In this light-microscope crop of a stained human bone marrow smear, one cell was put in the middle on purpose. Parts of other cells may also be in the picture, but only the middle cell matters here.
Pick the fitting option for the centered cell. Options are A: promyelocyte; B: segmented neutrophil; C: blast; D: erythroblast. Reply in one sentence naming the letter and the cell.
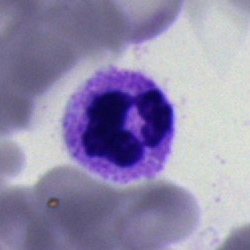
Of the choices given, option B is right, as the central cell is a segmented neutrophil.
